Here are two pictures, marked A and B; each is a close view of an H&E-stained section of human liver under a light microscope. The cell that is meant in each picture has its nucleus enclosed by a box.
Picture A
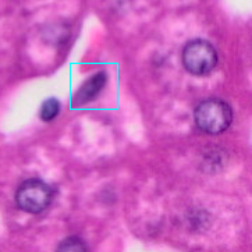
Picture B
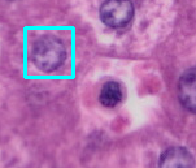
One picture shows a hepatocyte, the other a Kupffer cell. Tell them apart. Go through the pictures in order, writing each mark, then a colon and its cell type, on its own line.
A: Kupffer cell
B: hepatocyte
